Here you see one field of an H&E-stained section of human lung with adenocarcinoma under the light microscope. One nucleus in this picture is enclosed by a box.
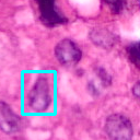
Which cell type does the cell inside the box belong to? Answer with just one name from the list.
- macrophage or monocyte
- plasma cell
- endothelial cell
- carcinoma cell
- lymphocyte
macrophage or monocyte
